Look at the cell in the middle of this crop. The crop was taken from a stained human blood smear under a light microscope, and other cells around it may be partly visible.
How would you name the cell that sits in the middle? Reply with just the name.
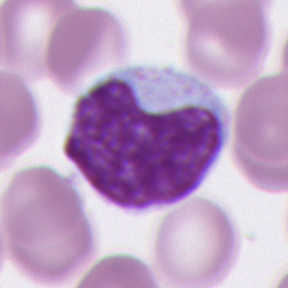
lymphocyte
